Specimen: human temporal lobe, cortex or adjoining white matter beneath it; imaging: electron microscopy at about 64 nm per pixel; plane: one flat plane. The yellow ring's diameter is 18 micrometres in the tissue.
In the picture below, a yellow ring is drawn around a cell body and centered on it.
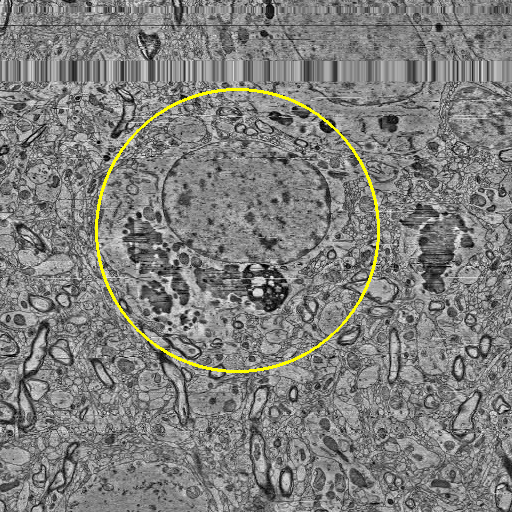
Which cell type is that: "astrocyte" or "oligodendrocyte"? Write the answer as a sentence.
The cell centered in the ring is an astrocyte.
